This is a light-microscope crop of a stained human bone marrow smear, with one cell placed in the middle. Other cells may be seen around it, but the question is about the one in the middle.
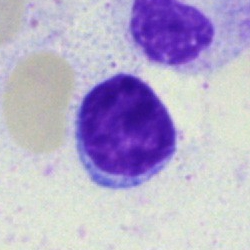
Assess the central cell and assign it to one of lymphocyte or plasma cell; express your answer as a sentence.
Regarding the central cell, it is a lymphocyte.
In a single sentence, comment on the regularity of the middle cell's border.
The edge of the cell is unbroken and smooth, bearing no projections.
